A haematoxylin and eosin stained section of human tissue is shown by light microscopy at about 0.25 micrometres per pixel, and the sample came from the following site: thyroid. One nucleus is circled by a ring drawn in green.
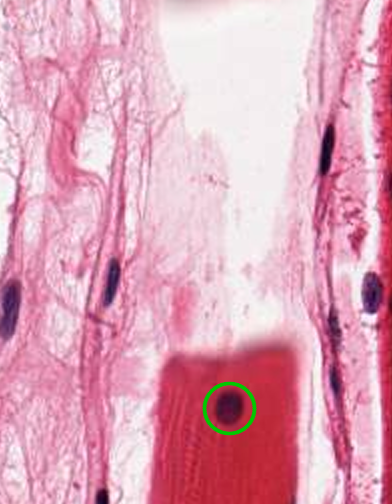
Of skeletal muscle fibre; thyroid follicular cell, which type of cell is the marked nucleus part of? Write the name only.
skeletal muscle fibre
